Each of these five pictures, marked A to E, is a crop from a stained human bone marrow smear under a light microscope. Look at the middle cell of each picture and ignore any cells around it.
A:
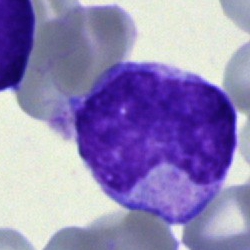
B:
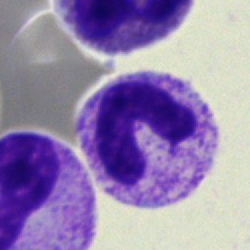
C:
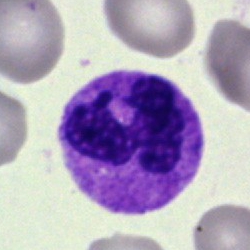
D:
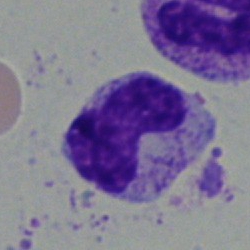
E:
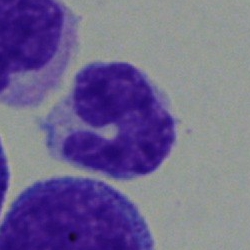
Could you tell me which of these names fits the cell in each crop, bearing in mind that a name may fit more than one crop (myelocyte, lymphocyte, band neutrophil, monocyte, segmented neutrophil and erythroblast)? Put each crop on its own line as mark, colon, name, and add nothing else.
A: monocyte
B: band neutrophil
C: segmented neutrophil
D: band neutrophil
E: band neutrophil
